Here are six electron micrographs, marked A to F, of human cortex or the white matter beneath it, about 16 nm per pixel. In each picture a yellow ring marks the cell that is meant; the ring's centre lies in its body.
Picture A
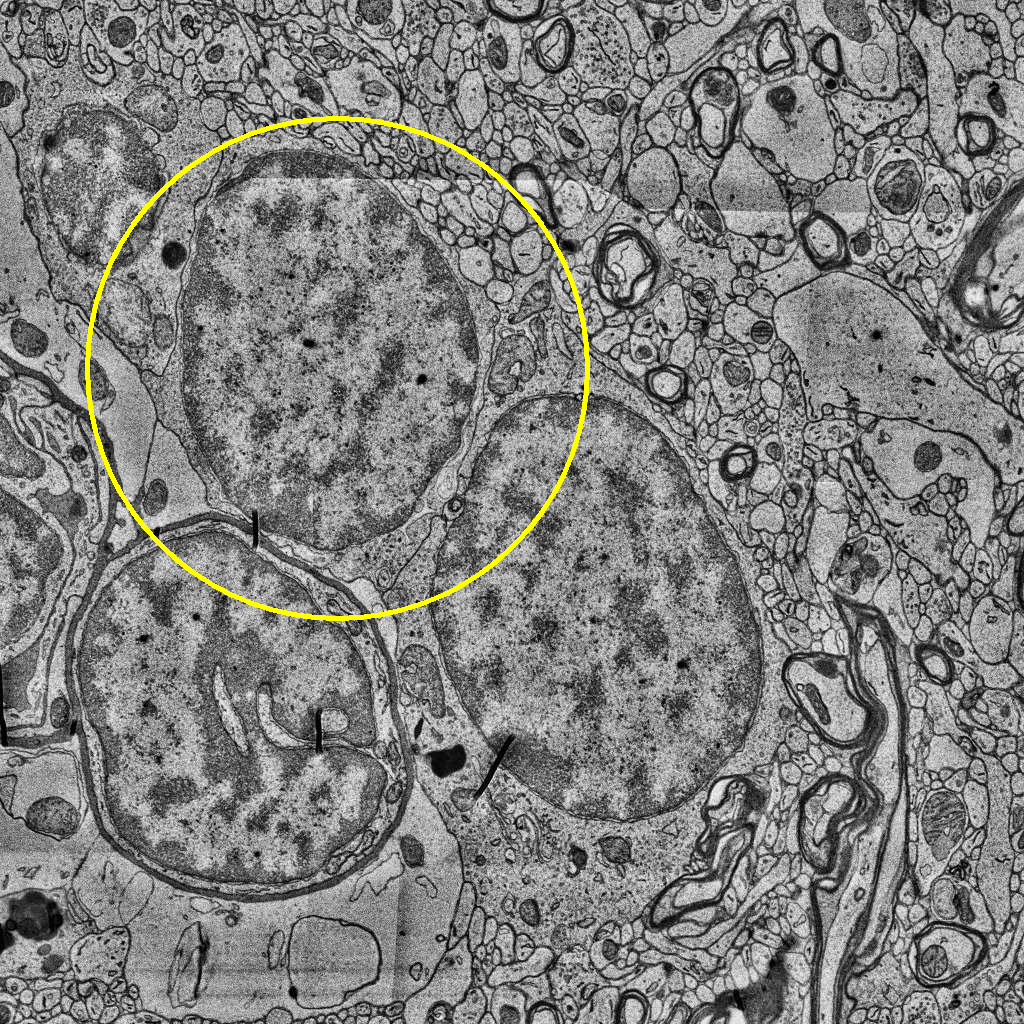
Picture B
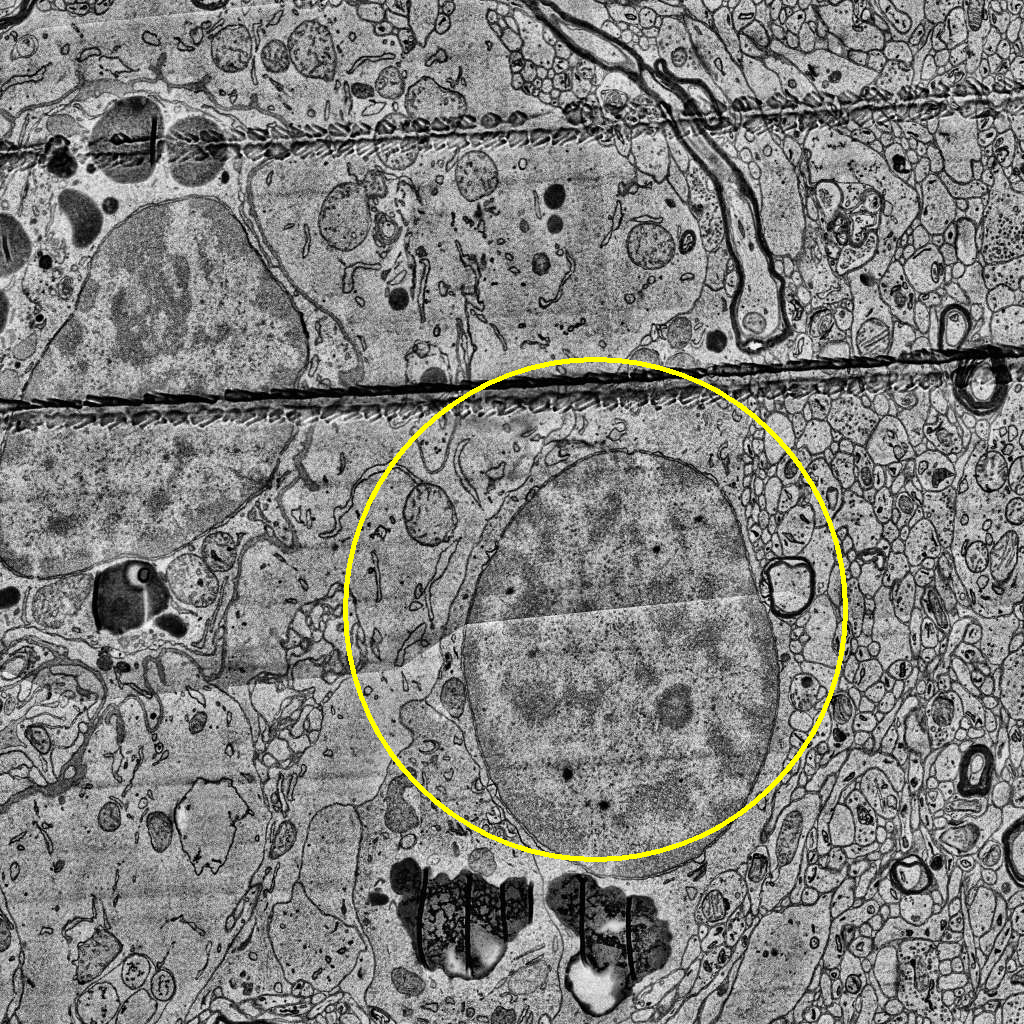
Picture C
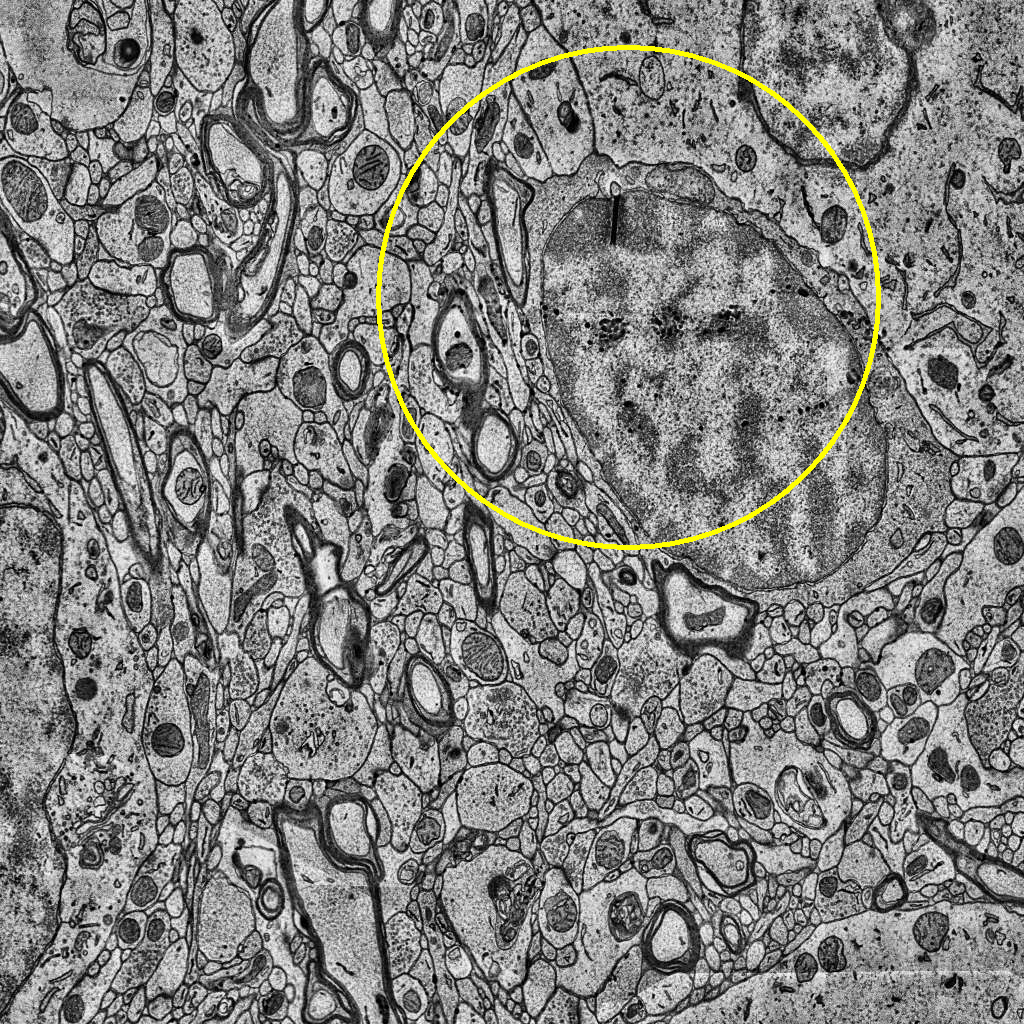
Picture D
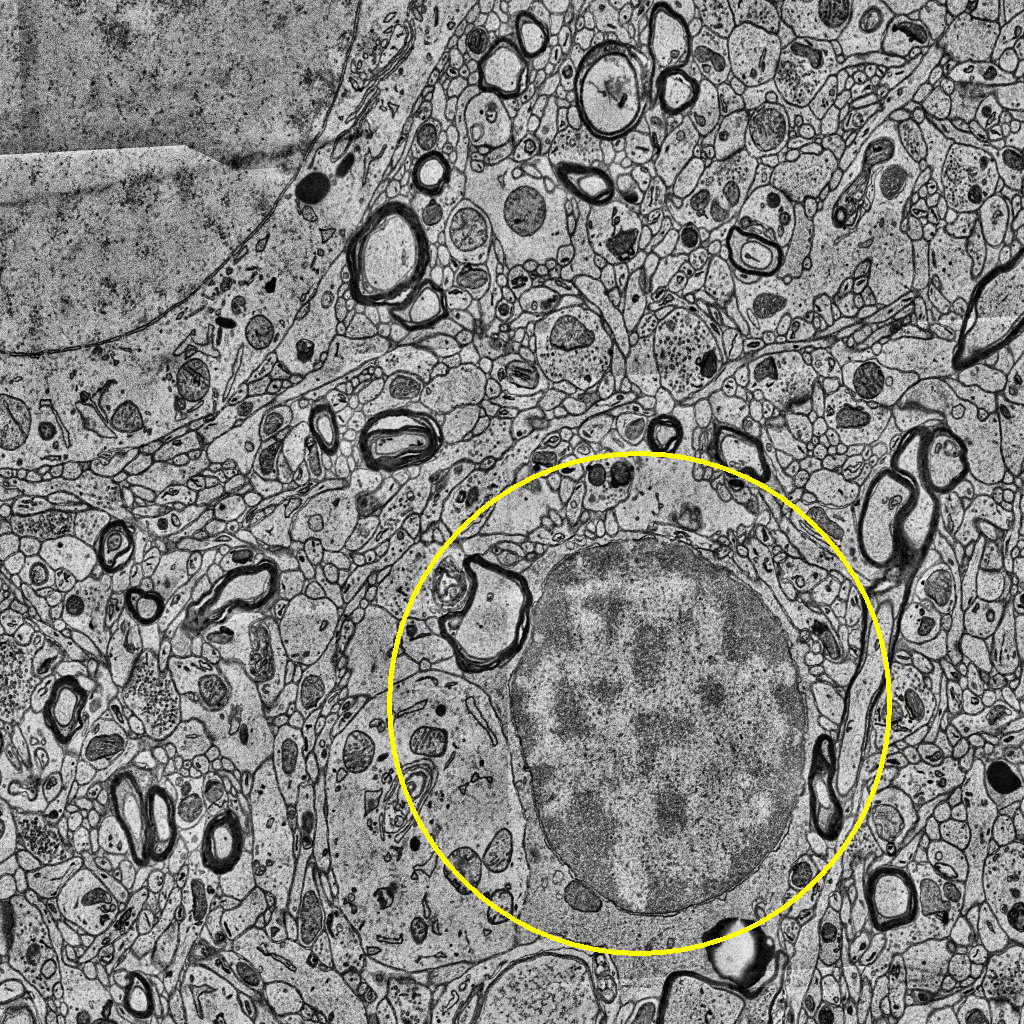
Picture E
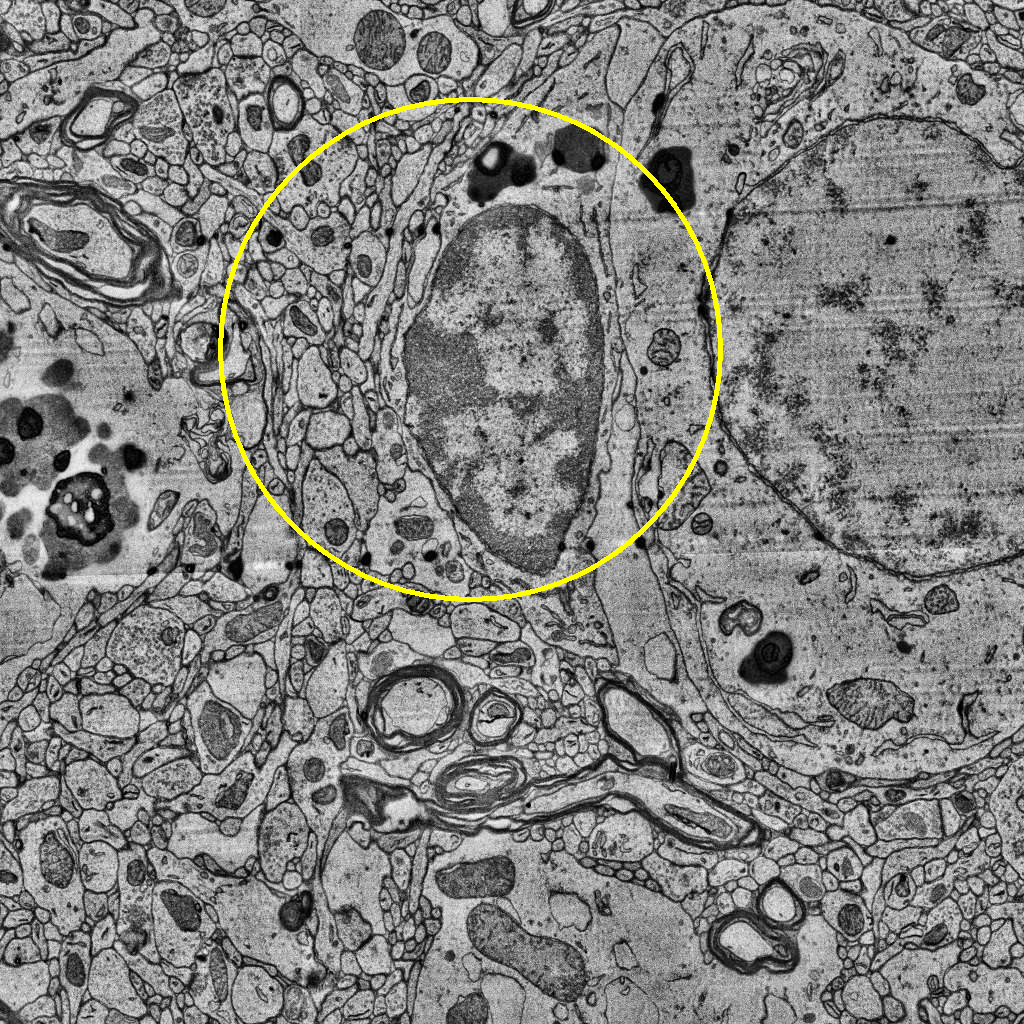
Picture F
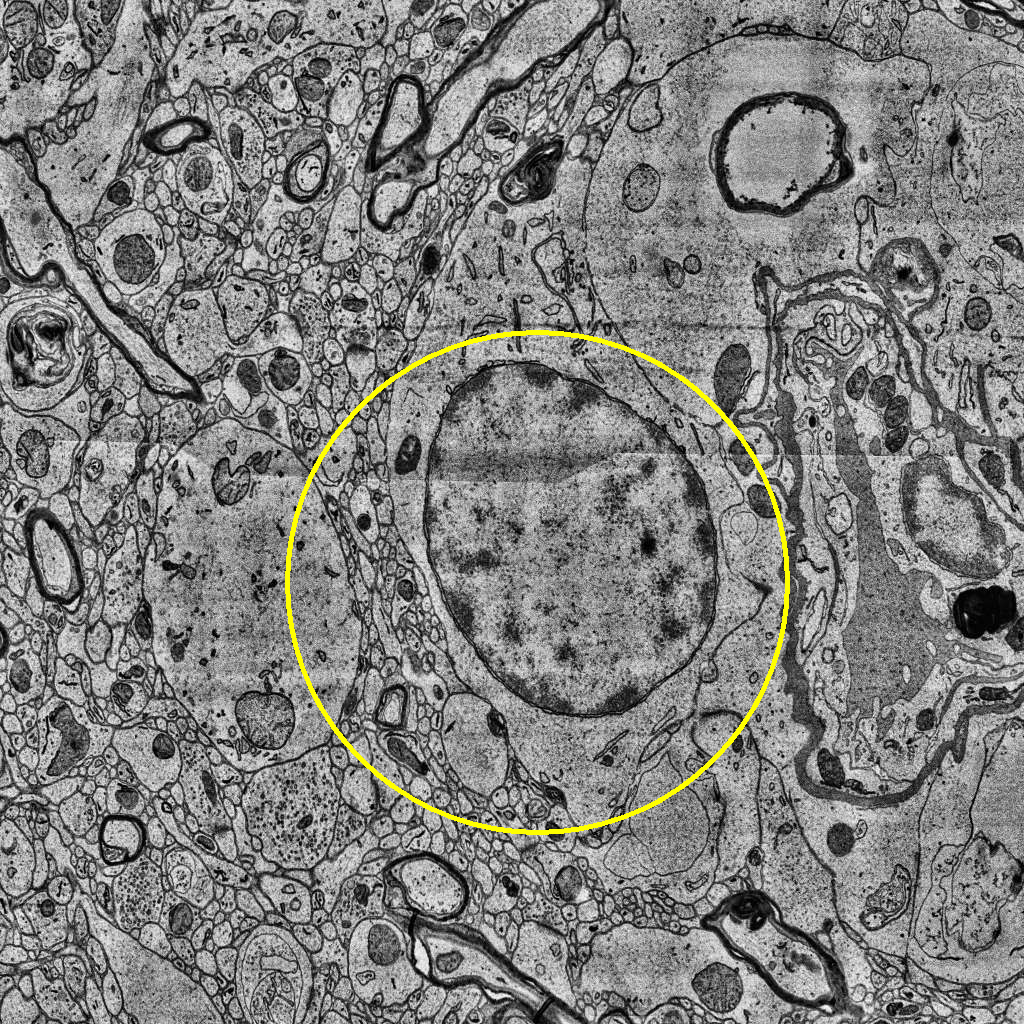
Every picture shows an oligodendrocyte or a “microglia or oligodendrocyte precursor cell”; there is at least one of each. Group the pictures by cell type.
Pictures A, B, C and D show oligodendrocytes, while pictures E and F show “microglia or oligodendrocyte precursor cells”.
